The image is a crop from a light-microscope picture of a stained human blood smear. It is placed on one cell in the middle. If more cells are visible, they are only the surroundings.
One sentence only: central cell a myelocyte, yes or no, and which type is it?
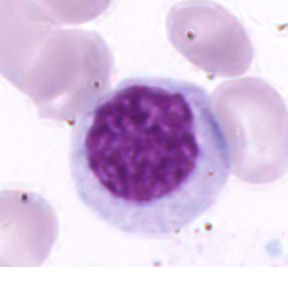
Yes, a myelocyte is what the central cell is.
